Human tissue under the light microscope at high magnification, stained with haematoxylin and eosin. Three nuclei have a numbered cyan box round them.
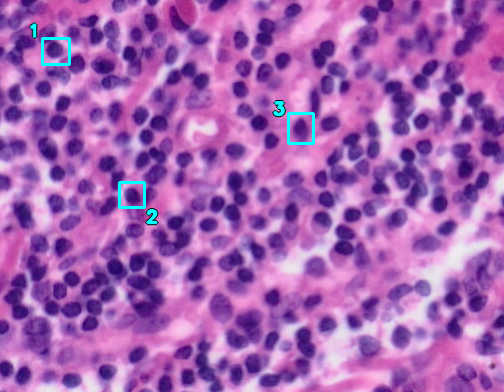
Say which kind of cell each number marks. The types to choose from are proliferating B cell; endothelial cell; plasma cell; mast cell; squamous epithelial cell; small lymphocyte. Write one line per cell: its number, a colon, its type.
1: small lymphocyte
2: small lymphocyte
3: endothelial cell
